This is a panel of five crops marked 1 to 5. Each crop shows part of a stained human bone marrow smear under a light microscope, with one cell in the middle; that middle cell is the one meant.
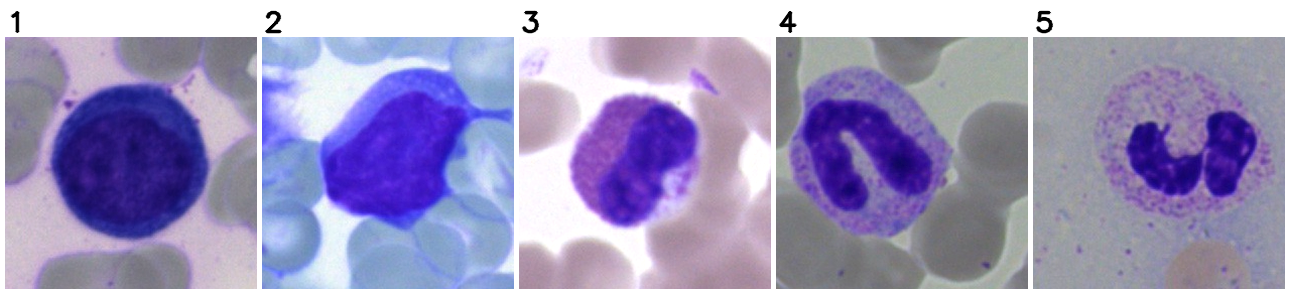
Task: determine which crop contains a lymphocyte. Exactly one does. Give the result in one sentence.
Crop 2 is identified as the crop showing a lymphocyte.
